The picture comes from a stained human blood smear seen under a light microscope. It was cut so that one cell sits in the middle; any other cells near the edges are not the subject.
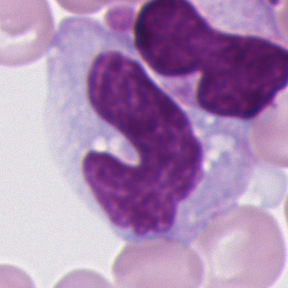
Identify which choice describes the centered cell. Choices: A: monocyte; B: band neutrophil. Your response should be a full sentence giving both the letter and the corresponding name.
Since the middle cell is a monocyte, option A is the right one.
